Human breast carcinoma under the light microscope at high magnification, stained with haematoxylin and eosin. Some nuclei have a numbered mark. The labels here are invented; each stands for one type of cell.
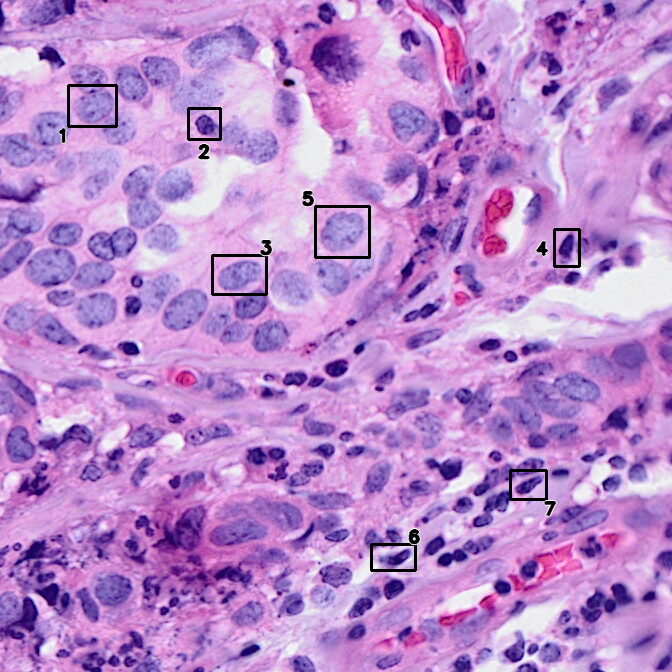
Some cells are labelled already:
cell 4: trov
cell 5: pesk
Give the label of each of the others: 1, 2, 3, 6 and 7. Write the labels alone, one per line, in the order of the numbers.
pesk
trov
pesk
trov
trov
